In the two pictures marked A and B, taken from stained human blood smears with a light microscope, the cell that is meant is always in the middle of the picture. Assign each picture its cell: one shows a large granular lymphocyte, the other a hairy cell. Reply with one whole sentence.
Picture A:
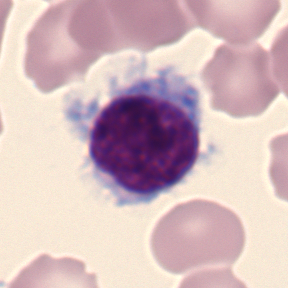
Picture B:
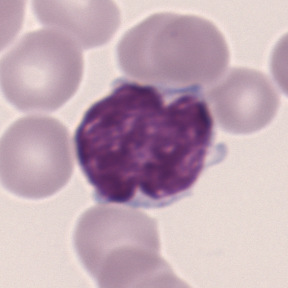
In picture A the cell is a hairy cell; in picture B, a large granular lymphocyte.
